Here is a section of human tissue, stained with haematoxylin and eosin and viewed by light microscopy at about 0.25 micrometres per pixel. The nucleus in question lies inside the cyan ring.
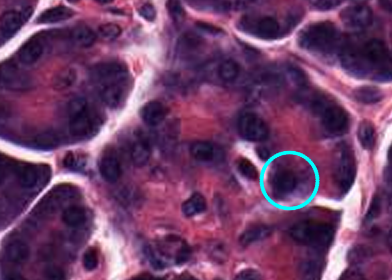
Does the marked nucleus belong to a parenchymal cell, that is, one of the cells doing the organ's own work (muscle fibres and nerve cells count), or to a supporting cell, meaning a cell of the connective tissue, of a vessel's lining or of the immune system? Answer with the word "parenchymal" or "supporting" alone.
parenchymal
